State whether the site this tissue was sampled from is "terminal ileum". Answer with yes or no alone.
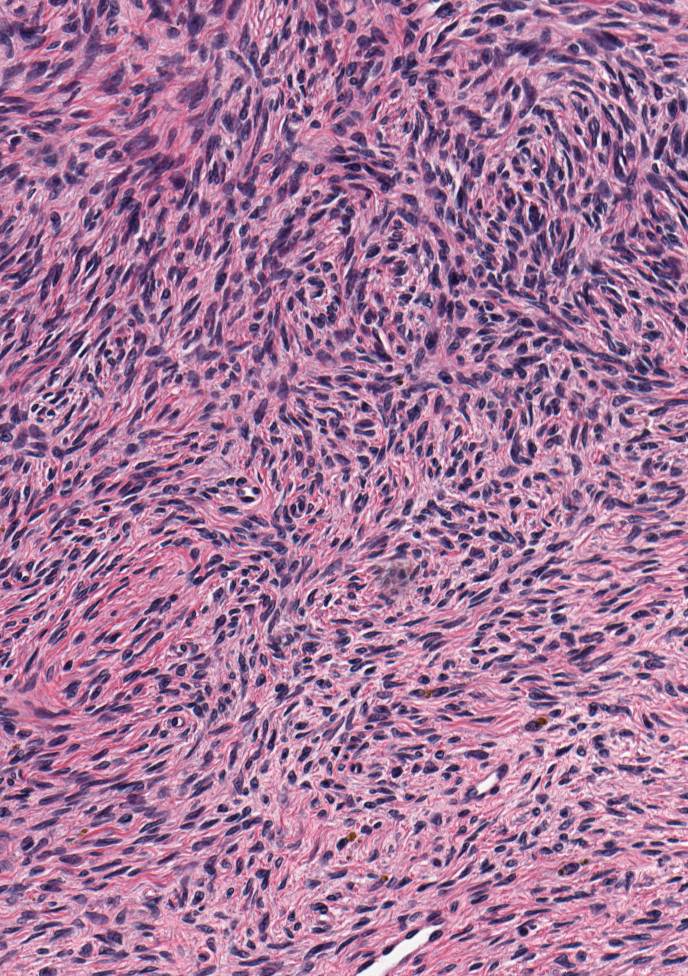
no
